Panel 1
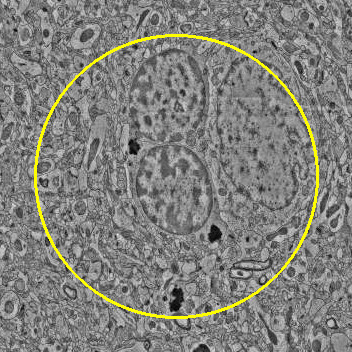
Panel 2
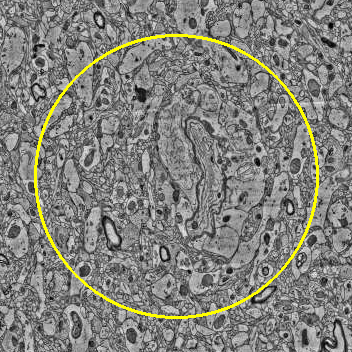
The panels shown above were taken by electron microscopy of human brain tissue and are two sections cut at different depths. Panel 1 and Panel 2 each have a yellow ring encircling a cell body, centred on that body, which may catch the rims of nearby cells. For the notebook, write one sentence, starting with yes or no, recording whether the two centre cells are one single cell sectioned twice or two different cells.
No, the rings mark two cells rather than a single cell.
